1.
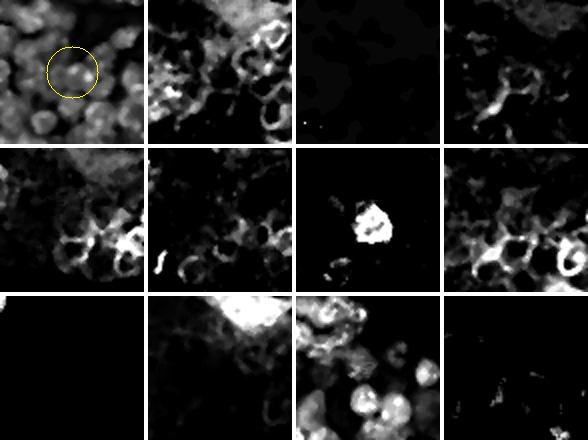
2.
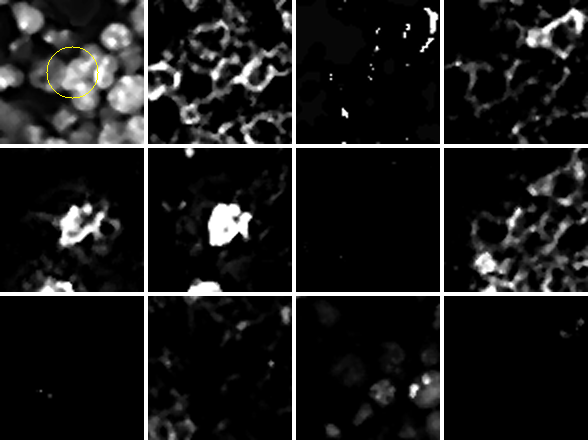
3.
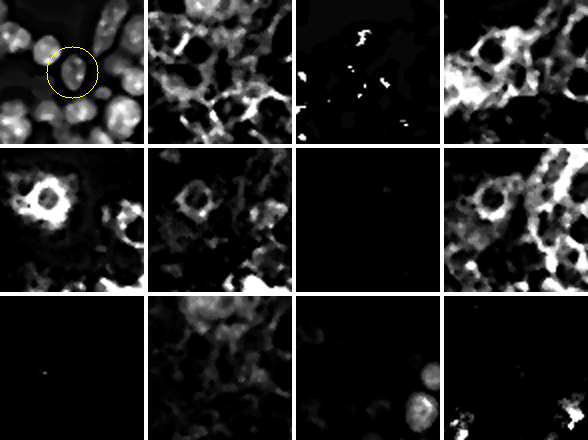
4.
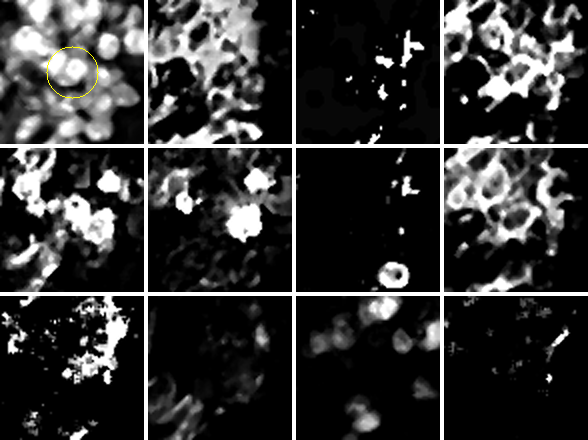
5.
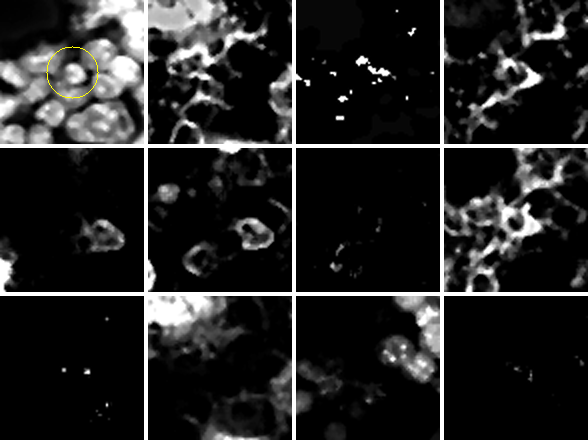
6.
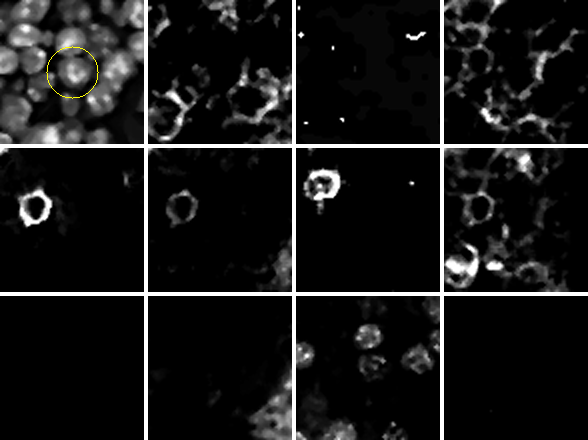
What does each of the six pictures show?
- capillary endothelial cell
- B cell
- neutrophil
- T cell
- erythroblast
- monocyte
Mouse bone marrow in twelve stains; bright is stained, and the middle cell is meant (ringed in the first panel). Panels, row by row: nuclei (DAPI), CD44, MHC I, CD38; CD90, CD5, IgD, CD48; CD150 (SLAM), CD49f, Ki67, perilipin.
Picture 1: B cell
Picture 2: T cell
Picture 3: capillary endothelial cell
Picture 4: monocyte
Picture 5: monocyte
Picture 6: erythroblast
